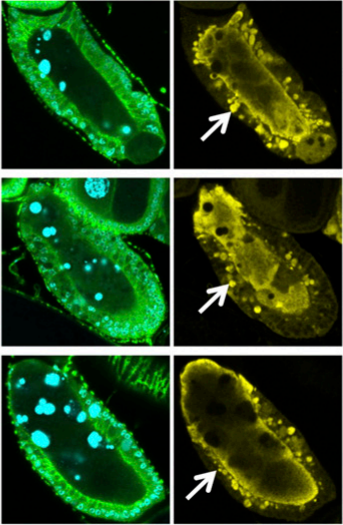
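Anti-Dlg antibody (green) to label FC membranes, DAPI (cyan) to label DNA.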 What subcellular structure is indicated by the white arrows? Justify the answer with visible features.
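The arrows point to small round bright yellow dots at the edge of the chamber. The dots lie within the thickened outer cell layer.
Conclusion: vesicles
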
